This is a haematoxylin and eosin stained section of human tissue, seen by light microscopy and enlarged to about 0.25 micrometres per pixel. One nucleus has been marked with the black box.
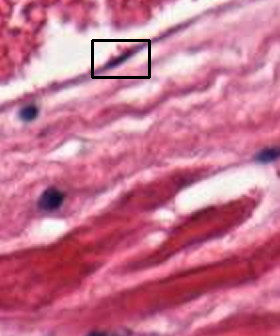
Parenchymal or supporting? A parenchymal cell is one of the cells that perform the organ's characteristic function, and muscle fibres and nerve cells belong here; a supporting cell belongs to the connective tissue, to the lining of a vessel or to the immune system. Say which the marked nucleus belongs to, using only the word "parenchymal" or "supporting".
supporting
